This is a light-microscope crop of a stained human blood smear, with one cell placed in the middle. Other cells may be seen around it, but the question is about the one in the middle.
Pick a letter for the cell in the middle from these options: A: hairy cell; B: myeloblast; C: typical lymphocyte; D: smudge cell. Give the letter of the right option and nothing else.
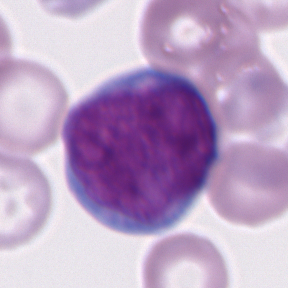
B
